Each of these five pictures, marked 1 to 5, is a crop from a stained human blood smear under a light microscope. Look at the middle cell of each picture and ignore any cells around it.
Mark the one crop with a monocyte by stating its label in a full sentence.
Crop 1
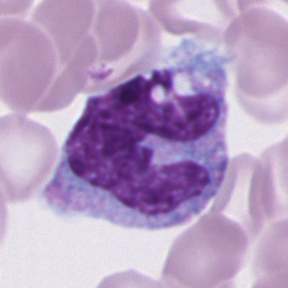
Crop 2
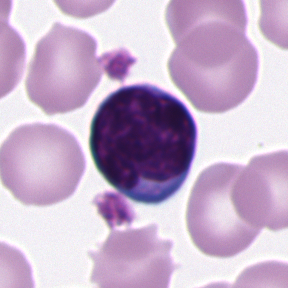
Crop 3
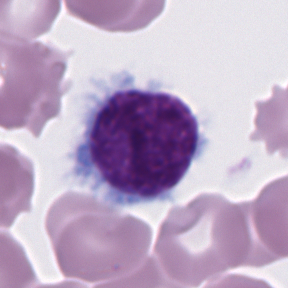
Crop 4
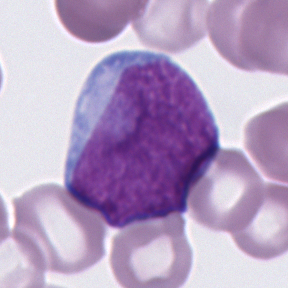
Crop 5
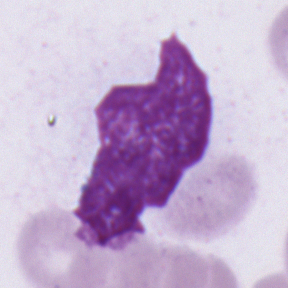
The crop with a monocyte at its center is crop 1.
